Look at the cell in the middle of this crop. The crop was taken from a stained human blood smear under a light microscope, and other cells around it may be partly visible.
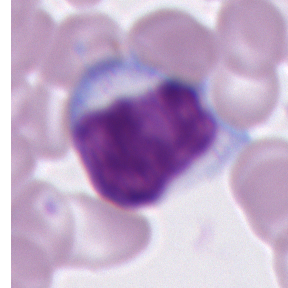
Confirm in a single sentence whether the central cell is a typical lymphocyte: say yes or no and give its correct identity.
Yes, this central cell is a typical lymphocyte.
